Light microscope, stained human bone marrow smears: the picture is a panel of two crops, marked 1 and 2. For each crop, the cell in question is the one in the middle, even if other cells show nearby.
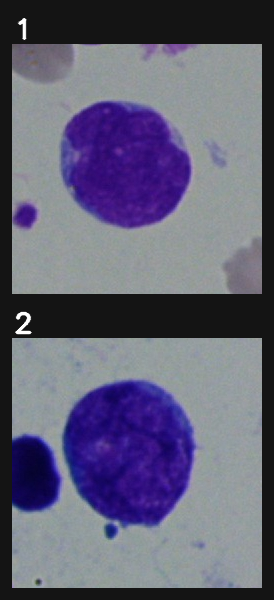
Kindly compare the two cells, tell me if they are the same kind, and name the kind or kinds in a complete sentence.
Yes, the same answer goes for both crops, namely blasts.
